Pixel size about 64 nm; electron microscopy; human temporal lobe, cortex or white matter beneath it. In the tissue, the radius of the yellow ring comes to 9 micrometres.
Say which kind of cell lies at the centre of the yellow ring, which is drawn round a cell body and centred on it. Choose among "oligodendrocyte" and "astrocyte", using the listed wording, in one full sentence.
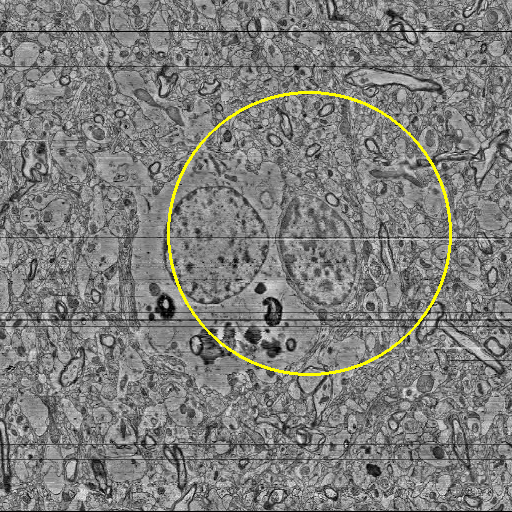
Going by the list, the cell at the yellow ring's centre is an oligodendrocyte.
